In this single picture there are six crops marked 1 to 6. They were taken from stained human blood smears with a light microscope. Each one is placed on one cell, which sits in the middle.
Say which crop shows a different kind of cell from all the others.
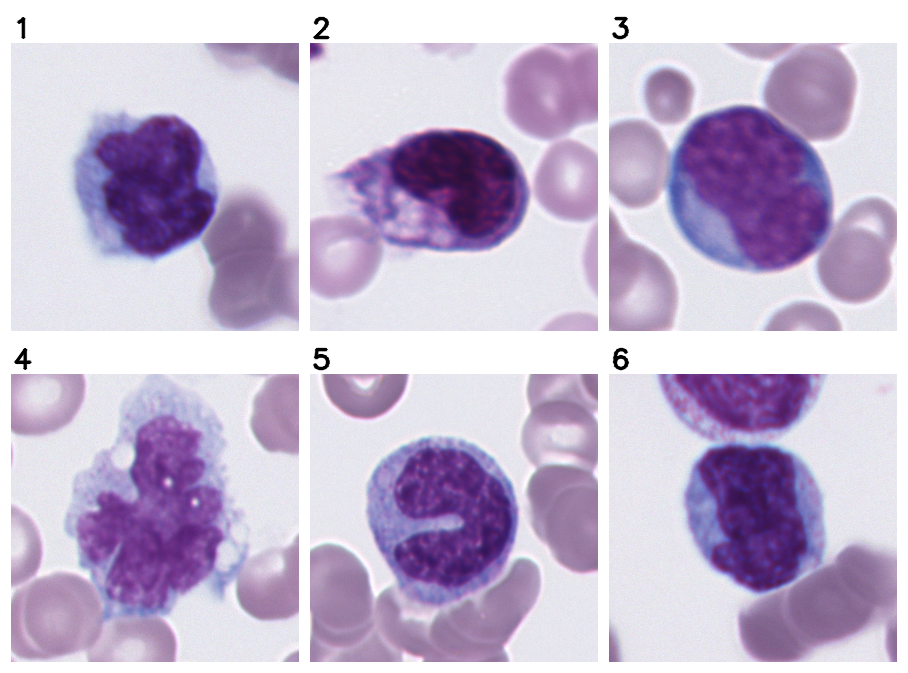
3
